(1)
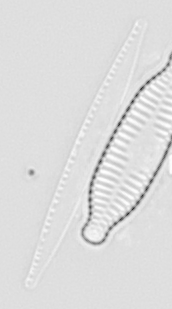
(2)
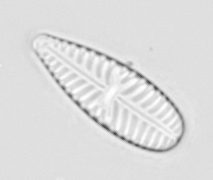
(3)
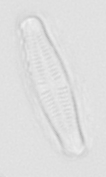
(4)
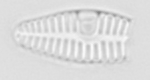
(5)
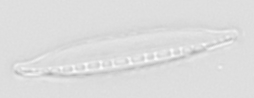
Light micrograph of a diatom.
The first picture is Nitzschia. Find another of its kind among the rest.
Picture 5.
